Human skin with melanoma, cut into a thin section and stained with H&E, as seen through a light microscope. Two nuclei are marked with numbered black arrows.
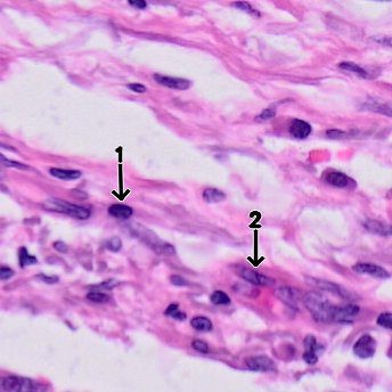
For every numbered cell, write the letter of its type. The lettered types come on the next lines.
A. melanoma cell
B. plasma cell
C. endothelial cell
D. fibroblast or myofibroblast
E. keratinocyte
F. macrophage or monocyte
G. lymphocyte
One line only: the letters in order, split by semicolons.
B; C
